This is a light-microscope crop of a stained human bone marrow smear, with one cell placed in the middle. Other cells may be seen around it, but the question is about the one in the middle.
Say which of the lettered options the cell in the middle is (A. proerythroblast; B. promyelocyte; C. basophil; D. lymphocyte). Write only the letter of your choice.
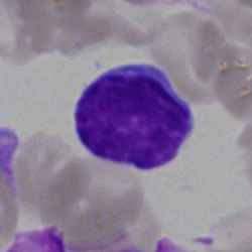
D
